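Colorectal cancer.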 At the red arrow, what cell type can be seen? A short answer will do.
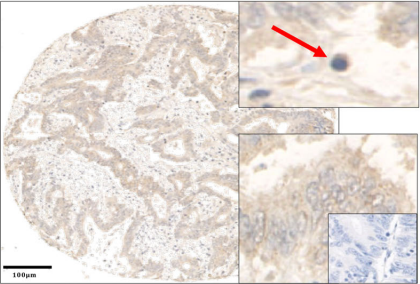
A: lymphocytes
